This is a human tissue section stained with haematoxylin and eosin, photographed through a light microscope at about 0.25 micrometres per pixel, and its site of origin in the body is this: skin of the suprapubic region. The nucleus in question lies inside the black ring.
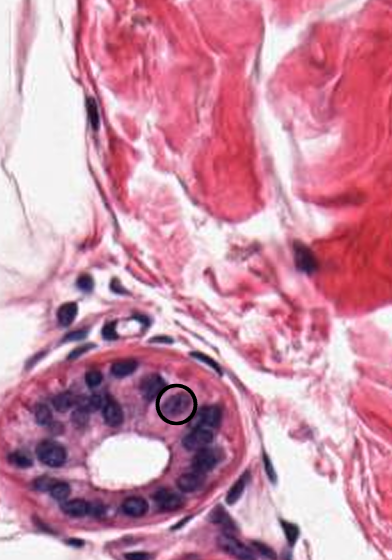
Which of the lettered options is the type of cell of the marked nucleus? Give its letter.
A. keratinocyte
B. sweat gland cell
B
